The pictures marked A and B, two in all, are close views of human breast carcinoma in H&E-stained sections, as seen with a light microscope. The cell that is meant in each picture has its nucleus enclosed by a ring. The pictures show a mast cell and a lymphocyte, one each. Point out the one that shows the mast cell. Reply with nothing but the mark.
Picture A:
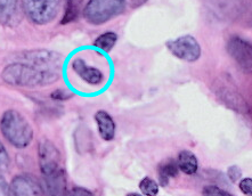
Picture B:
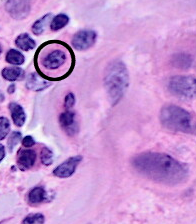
B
